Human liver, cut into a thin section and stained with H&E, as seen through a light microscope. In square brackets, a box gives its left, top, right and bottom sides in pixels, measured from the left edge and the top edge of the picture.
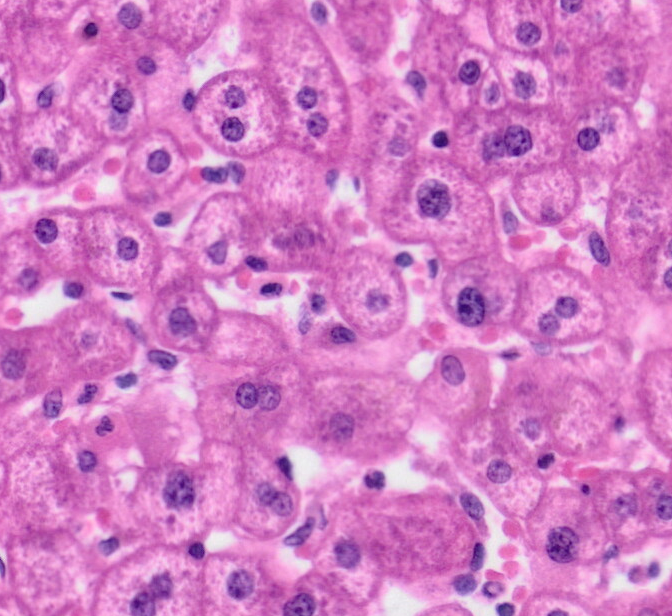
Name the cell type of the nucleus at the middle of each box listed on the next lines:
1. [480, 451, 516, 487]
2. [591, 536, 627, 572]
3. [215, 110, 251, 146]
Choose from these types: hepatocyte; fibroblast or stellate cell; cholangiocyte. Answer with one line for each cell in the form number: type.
1: hepatocyte
2: fibroblast or stellate cell
3: hepatocyte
